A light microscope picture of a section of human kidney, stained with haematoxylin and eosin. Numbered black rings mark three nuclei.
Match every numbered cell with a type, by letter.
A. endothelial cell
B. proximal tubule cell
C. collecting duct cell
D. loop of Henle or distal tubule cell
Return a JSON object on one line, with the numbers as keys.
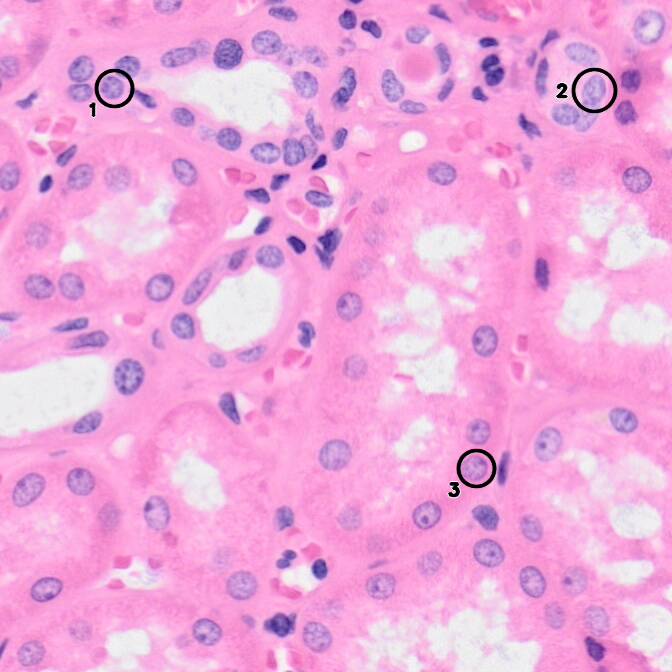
{"1": "C", "2": "C", "3": "B"}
